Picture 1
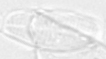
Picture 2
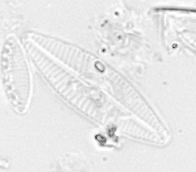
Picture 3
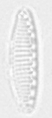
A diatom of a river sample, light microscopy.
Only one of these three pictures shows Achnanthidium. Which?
Picture 1.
